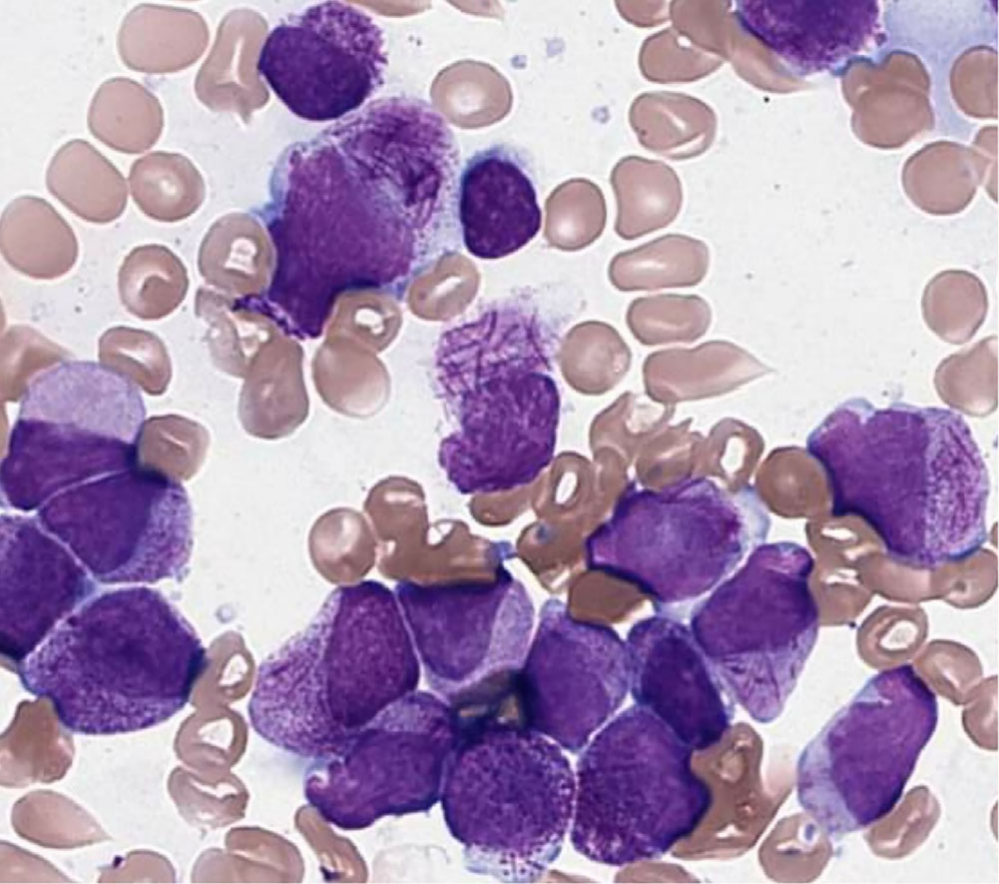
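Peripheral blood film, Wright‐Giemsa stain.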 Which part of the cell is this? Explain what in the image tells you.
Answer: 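Thin, needle-like purple rods lie within the cytoplasm of several large cells. In some cells the rods lie in bundles.
Hence: Auer rods.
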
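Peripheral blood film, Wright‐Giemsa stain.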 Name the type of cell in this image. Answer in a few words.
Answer: Abnormal promyelocytes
